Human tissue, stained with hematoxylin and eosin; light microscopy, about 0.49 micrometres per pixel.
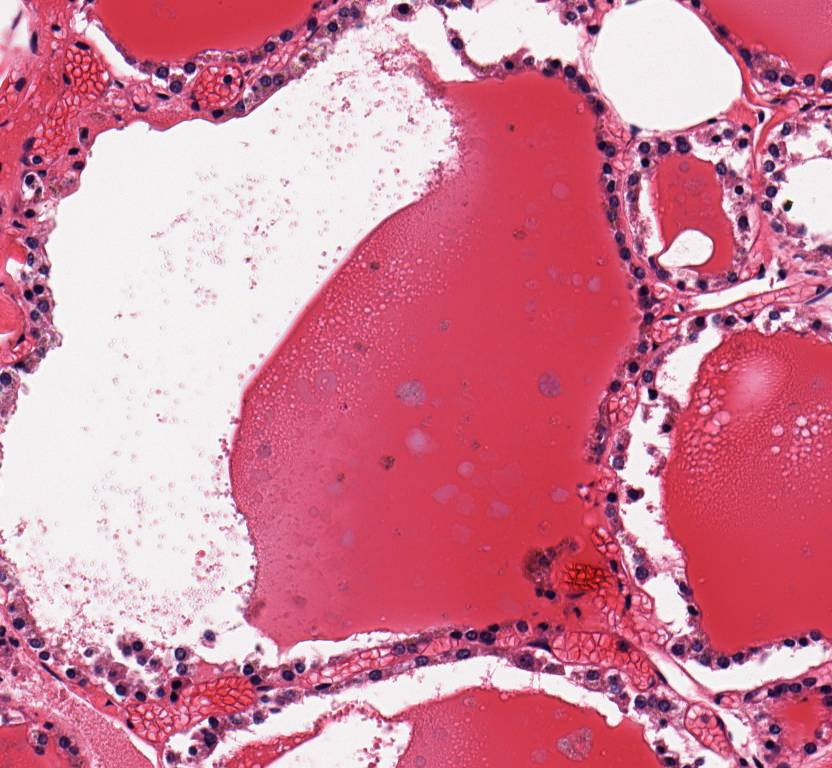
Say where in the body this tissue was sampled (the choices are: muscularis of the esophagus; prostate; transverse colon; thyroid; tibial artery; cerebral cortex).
thyroid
